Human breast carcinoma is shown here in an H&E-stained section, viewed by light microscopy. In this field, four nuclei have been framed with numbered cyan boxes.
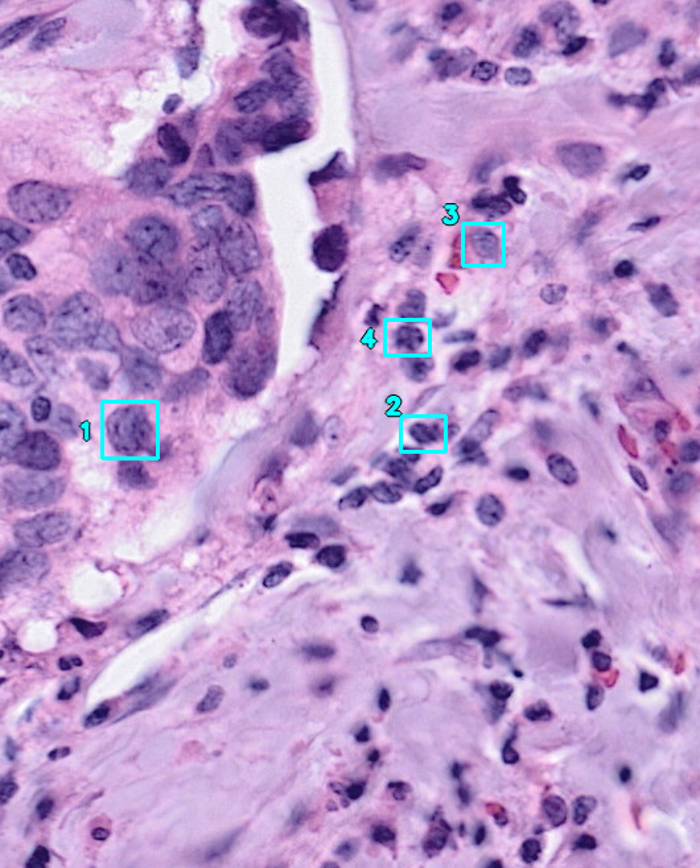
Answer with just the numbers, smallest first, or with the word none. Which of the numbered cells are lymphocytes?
2, 4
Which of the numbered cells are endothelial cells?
3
